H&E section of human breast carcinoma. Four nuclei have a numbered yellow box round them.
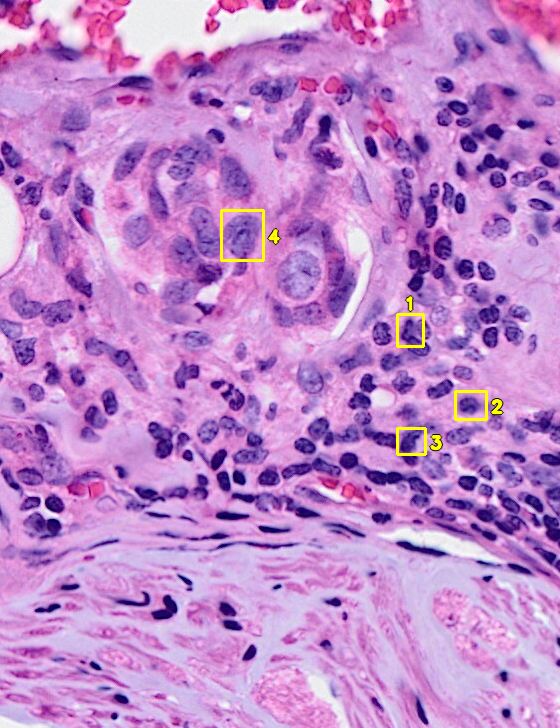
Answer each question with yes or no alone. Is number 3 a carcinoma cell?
no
